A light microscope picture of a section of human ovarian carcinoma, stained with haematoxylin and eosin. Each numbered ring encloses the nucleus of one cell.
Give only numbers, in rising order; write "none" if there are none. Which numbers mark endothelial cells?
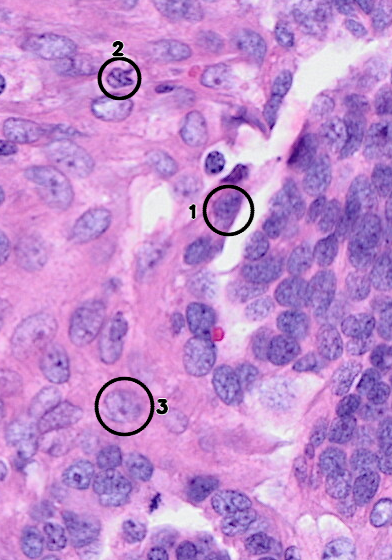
none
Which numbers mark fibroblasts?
3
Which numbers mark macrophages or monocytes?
2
